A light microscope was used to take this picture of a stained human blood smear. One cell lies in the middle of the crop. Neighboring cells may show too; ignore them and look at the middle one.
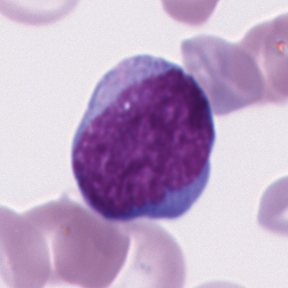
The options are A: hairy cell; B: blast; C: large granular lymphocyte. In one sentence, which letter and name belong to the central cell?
Identified correctly by option B, the cell in the middle is a blast.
